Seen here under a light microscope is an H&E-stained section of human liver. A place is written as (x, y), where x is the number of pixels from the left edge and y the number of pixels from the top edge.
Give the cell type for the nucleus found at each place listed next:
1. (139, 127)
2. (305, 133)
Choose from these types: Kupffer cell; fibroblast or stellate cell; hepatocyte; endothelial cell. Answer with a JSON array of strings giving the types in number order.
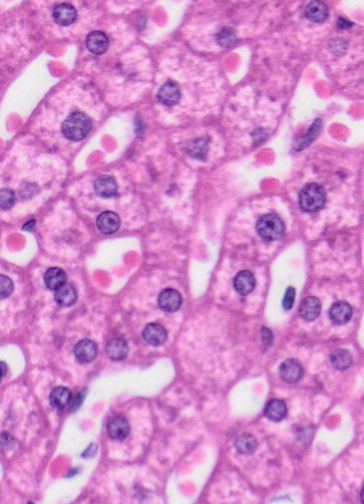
["endothelial cell", "Kupffer cell"]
